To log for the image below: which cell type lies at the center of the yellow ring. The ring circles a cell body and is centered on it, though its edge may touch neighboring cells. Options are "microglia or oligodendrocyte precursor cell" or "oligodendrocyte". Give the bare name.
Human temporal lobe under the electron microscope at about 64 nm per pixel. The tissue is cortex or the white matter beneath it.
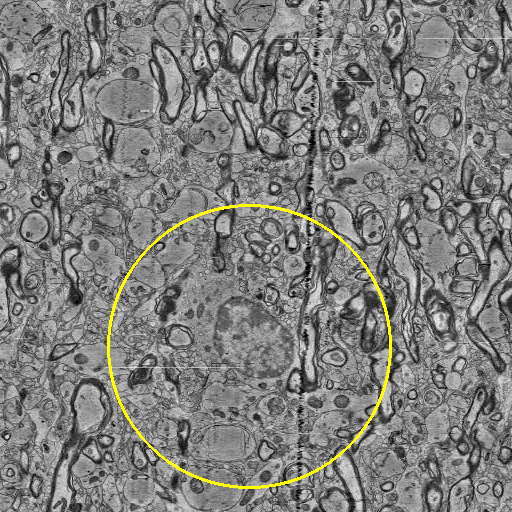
oligodendrocyte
